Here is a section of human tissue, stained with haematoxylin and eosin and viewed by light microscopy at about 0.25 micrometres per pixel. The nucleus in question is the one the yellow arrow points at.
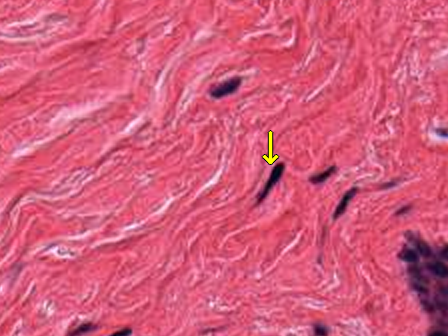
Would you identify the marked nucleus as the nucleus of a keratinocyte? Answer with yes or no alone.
no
